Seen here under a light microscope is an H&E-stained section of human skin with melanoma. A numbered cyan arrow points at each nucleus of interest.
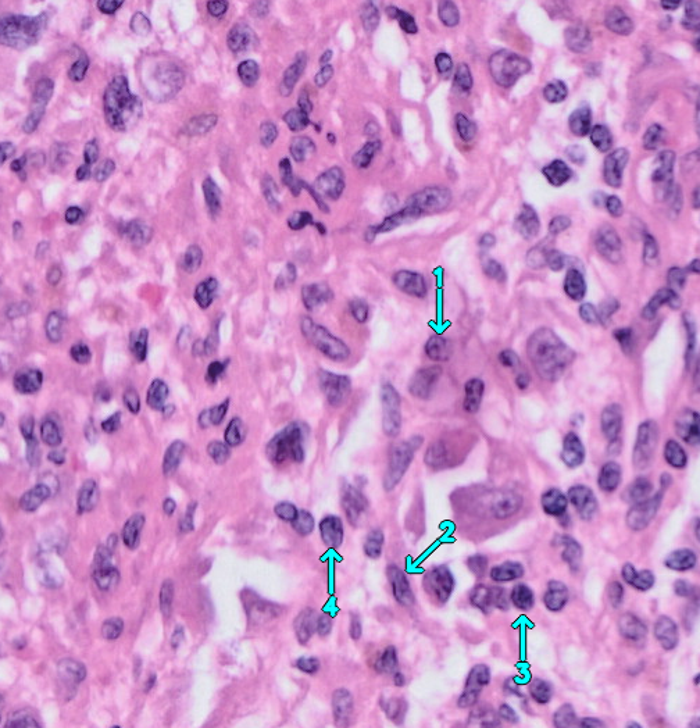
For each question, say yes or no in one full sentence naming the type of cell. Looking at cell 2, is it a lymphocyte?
No, the cell tagged 2 is a macrophage or monocyte, and not a lymphocyte.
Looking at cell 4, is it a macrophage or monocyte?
No, it is a lymphocyte that is marked with number 4, not a macrophage or monocyte.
